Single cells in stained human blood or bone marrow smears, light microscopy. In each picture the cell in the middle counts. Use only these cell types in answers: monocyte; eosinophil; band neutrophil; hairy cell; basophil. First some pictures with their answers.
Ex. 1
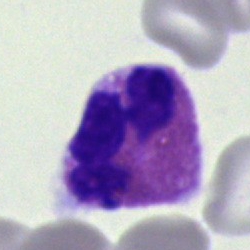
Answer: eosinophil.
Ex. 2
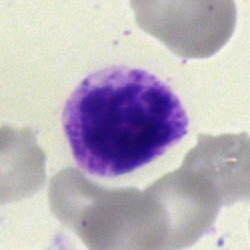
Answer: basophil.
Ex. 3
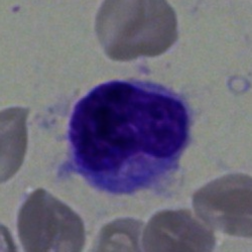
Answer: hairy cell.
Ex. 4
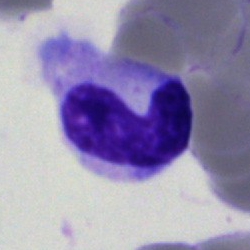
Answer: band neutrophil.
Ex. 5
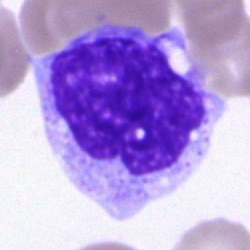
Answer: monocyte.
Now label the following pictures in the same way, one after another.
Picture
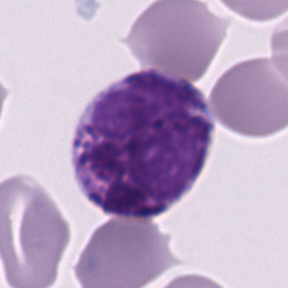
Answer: basophil.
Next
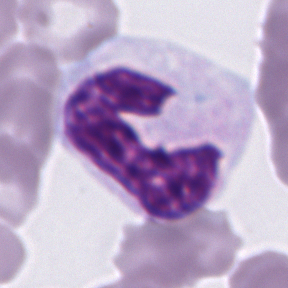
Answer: band neutrophil.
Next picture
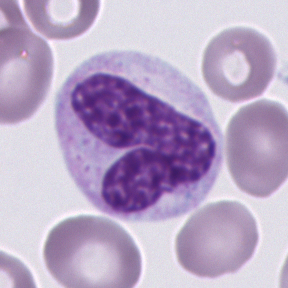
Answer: band neutrophil.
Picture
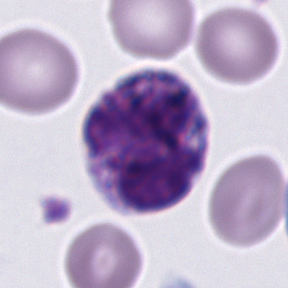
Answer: basophil.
